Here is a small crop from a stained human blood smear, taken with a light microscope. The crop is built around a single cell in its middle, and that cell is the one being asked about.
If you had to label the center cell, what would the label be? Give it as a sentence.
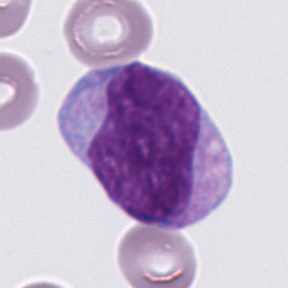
Standing at the centre of this crop is an atypical promyelocyte.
